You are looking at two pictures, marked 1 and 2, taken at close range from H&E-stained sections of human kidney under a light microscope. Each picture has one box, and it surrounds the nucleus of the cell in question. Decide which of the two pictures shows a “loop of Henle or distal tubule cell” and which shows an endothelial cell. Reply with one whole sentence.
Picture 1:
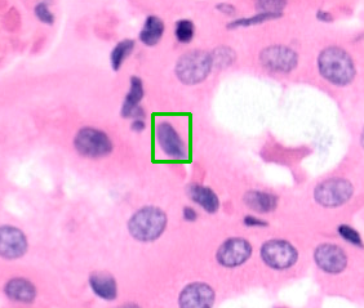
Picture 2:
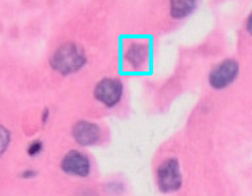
The cell in picture 1 is an endothelial cell, and the one in picture 2 is a “loop of Henle or distal tubule cell”.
